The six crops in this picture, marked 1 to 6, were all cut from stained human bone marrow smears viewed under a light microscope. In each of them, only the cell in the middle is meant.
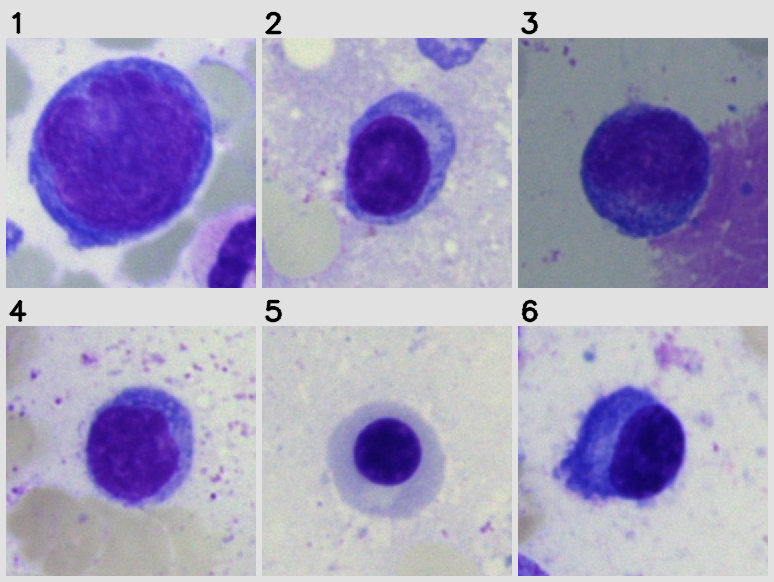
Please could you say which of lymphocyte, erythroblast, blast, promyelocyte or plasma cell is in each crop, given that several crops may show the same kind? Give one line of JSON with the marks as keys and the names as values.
{"1": "blast", "2": "lymphocyte", "3": "blast", "4": "lymphocyte", "5": "erythroblast", "6": "plasma cell"}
